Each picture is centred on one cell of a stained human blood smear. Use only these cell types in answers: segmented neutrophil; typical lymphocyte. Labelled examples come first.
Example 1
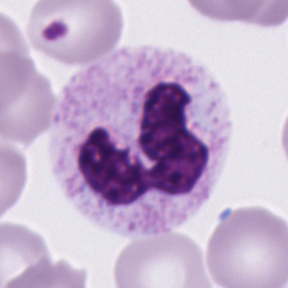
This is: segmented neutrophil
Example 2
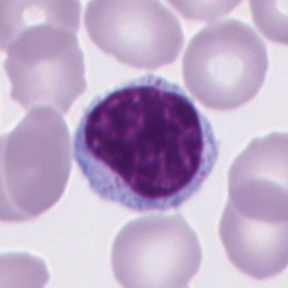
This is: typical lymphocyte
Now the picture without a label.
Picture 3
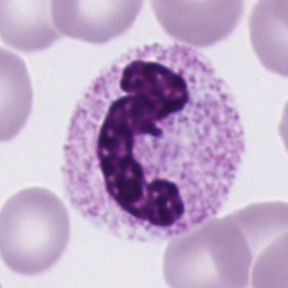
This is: segmented neutrophil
